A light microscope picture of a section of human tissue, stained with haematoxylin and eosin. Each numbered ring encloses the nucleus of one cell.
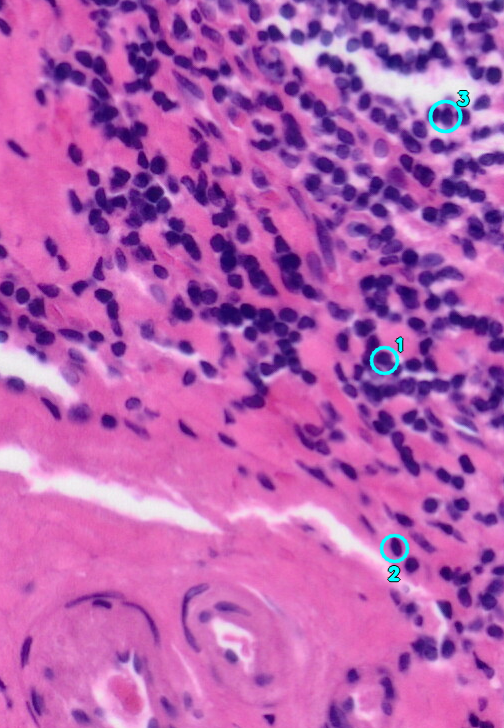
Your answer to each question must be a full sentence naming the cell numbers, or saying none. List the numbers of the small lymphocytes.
On this slide, the cells numbered 1 and 3 are small lymphocytes.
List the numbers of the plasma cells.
Of the numbered cells, none can be classed as plasma cells.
